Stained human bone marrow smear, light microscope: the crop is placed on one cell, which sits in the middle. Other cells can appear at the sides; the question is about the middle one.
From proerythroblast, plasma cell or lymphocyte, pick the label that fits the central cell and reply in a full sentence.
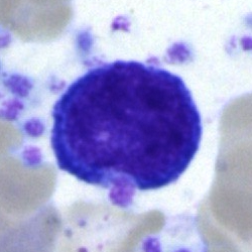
Within this crop, a proerythroblast occupies the central position.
